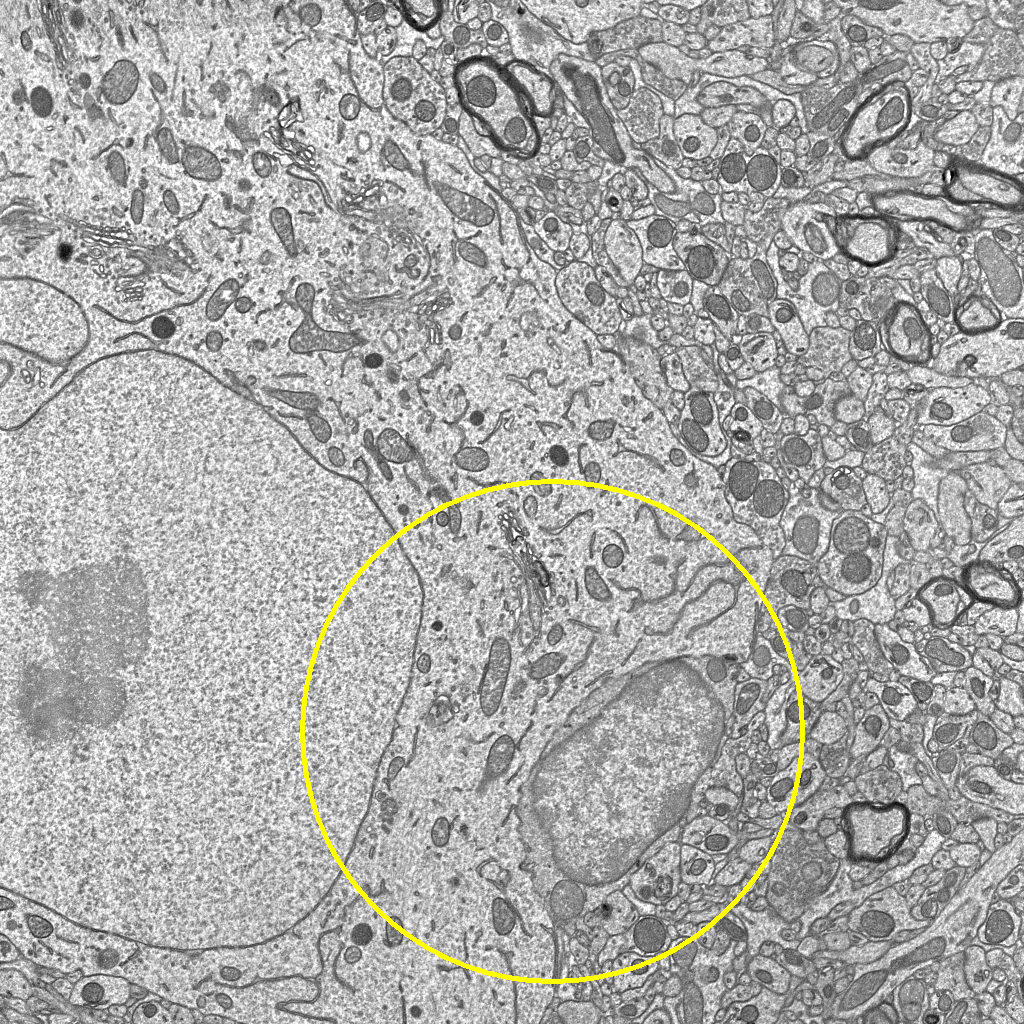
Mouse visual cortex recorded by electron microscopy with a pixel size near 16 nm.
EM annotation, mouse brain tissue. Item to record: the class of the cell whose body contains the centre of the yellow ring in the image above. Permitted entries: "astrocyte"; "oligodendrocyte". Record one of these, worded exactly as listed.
oligodendrocyte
